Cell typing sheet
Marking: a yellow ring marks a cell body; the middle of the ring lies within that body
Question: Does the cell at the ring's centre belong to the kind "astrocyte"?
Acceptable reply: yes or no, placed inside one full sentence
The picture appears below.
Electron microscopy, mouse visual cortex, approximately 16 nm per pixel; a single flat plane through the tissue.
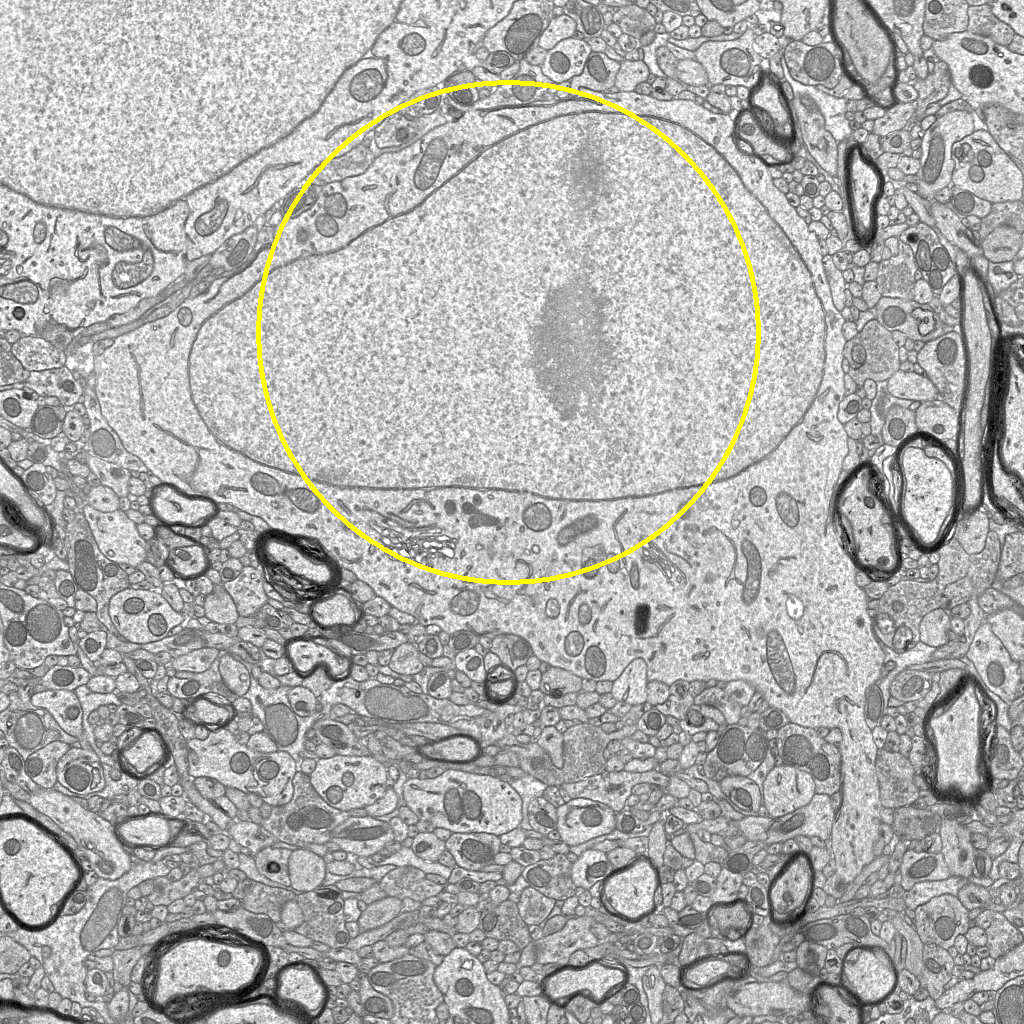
No, the cell at the centre of the ring belongs to a different kind.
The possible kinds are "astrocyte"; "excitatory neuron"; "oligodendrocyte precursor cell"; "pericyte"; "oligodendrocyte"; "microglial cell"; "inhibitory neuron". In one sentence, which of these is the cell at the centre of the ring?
The cell this ring marks is an excitatory neuron.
